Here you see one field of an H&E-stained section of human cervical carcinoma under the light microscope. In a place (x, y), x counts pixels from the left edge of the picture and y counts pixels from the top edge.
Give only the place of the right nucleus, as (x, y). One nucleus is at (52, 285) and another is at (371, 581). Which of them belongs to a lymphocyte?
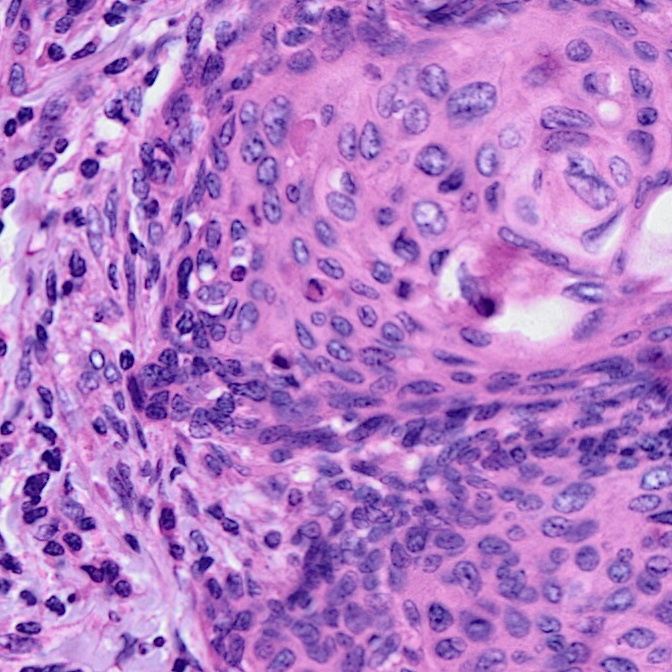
(52, 285)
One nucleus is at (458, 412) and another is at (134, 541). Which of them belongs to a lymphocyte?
(134, 541)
